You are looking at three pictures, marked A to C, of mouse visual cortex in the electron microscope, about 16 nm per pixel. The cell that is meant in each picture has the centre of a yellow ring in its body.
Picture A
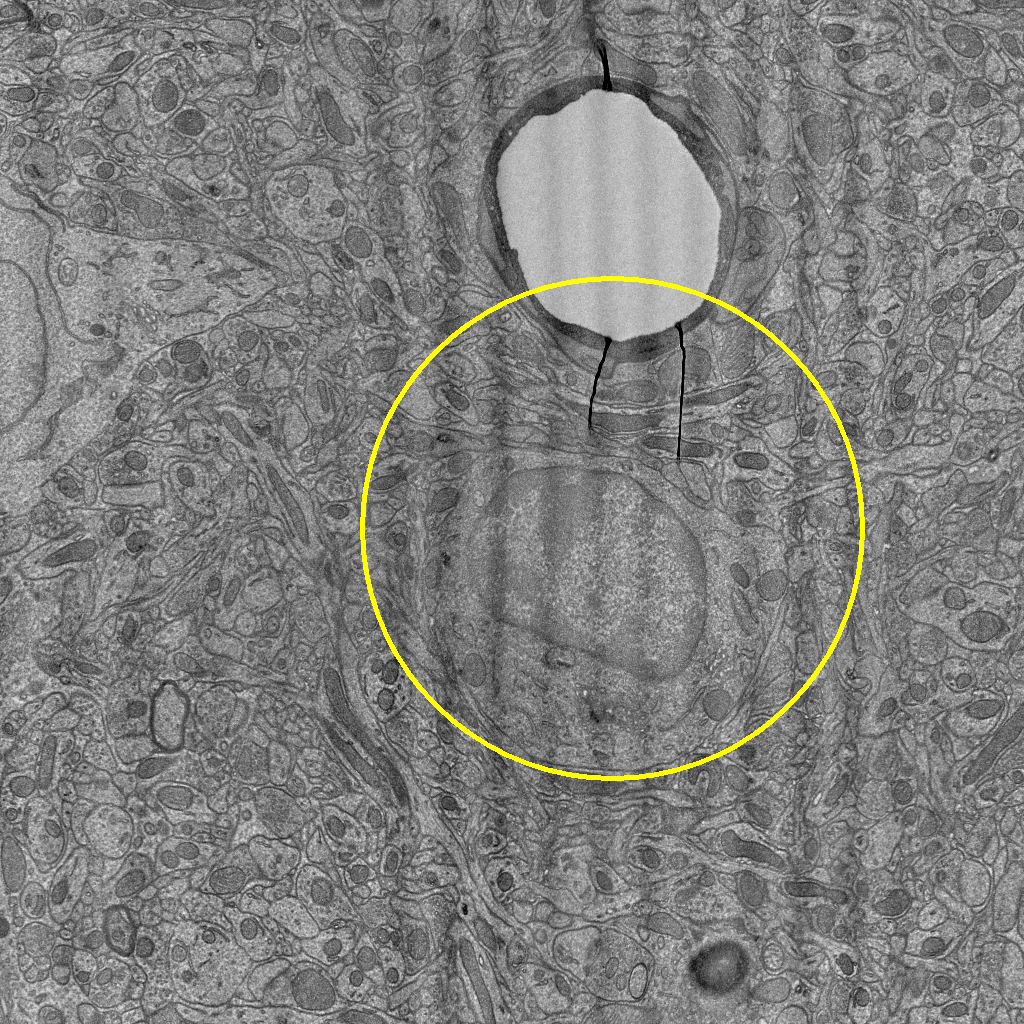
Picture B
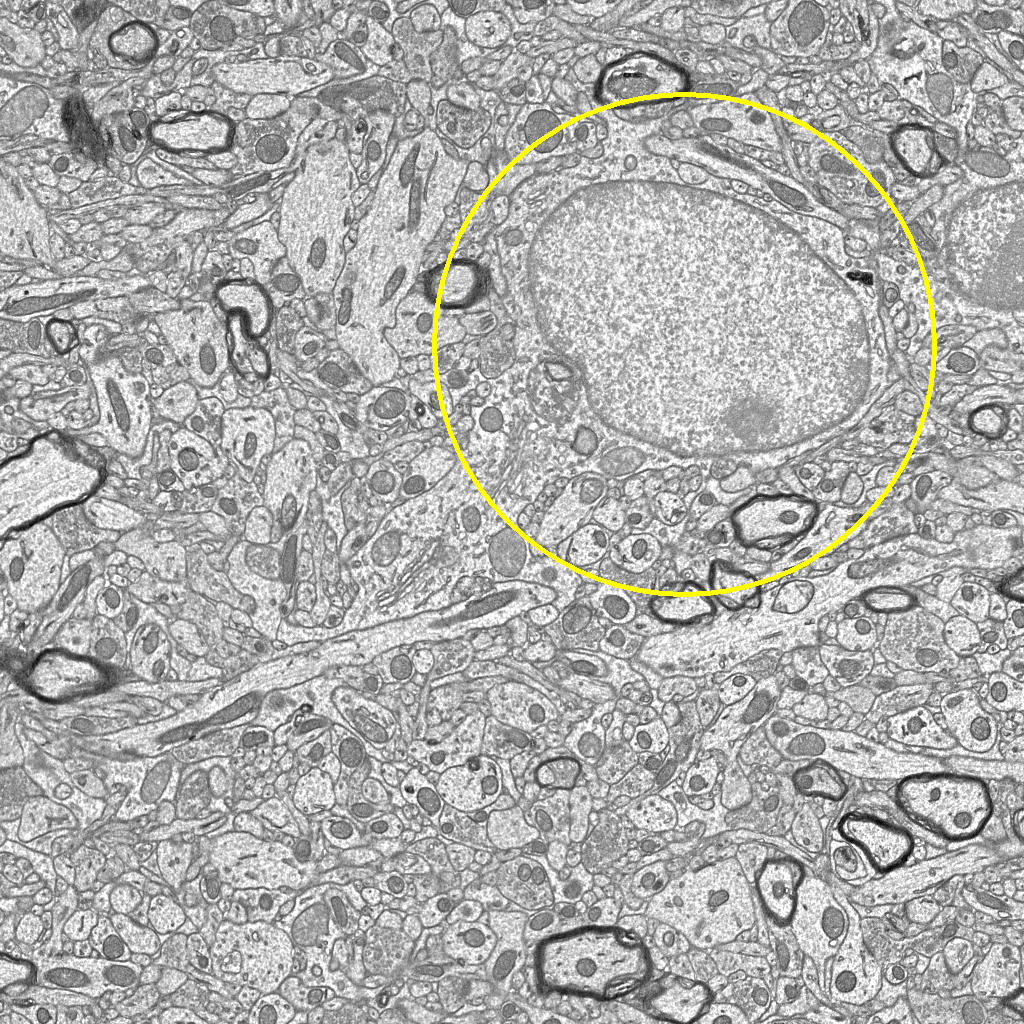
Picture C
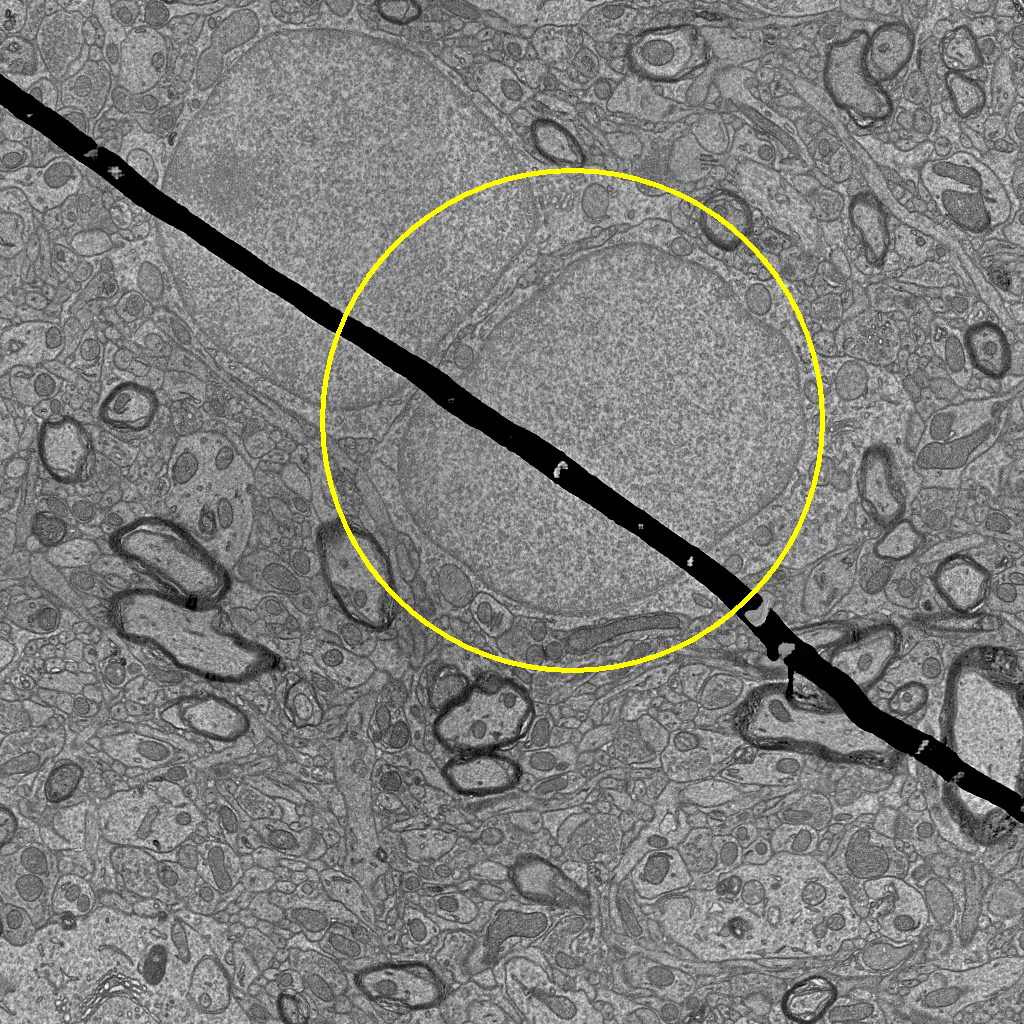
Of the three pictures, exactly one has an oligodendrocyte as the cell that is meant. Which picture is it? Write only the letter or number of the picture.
A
